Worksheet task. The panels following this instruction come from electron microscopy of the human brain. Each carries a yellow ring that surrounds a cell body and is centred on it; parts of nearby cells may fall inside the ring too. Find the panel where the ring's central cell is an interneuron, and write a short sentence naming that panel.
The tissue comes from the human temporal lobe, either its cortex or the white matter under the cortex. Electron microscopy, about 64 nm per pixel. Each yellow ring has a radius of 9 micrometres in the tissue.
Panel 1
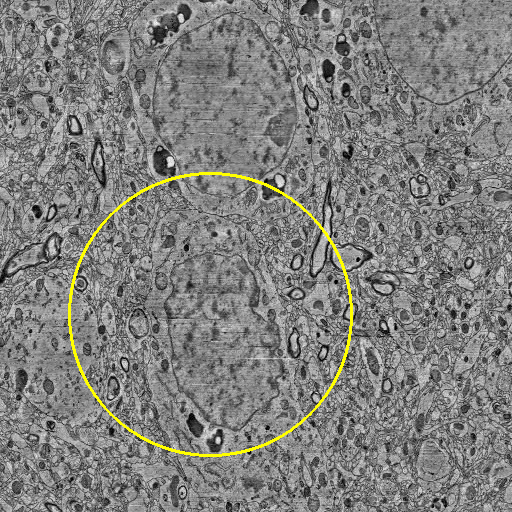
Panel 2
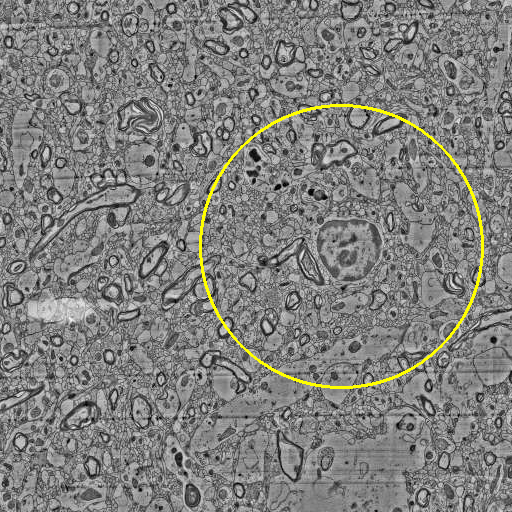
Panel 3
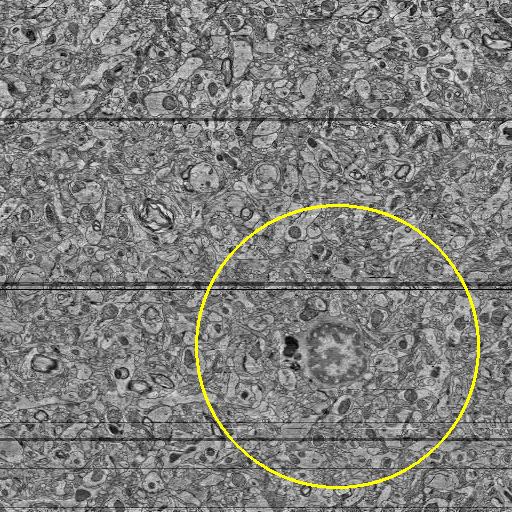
The cell sought is in Panel 1.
